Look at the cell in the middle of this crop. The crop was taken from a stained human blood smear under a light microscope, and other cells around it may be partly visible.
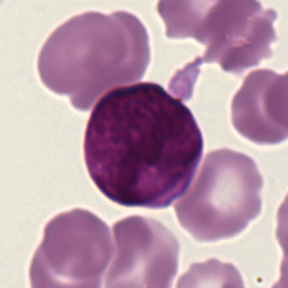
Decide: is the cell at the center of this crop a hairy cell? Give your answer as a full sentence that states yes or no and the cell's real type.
No, a hairy cell is not what the central cell is; it is a myeloblast.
